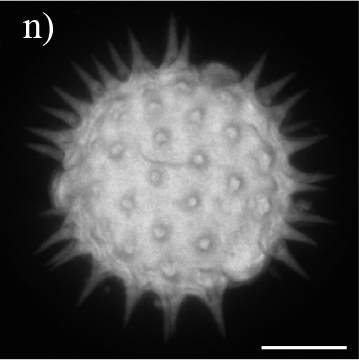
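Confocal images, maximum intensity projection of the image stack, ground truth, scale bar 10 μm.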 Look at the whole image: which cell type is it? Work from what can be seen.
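Pollen grain. A single round body fills the image. Many pointed spines project outward all around its outline. Its surface bears regularly spaced small round bumps.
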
